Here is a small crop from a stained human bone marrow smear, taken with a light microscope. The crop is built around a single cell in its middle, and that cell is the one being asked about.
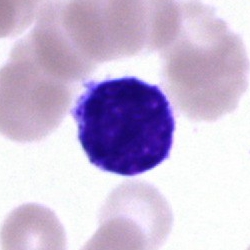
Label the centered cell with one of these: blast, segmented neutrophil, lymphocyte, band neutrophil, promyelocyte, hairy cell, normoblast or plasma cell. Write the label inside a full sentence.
In this crop, the cell at the very middle is a lymphocyte.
